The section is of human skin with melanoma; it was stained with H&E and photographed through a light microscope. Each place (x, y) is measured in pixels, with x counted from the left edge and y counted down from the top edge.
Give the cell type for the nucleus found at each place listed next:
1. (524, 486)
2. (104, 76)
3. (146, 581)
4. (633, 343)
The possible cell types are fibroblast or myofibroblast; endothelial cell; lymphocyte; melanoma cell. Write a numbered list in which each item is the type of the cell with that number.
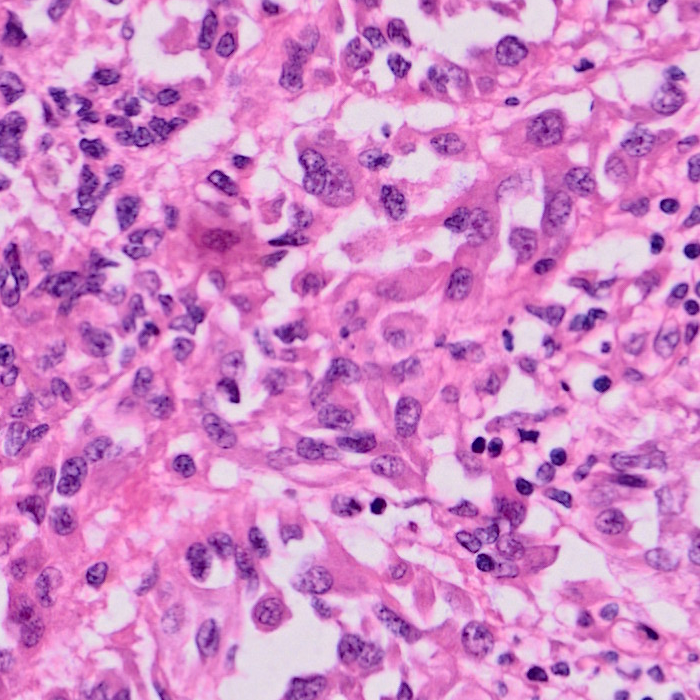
1. lymphocyte
2. melanoma cell
3. fibroblast or myofibroblast
4. endothelial cell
